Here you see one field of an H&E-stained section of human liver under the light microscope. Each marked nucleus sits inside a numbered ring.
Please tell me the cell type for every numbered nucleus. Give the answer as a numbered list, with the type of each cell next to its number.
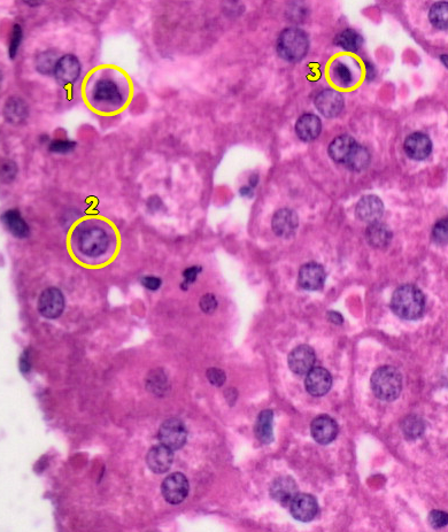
1. Kupffer cell
2. hepatocyte
3. fibroblast or stellate cell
